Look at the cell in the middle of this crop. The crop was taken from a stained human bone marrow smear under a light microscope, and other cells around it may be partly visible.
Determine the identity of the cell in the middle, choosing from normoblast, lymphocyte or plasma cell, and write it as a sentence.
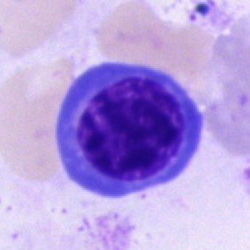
The cell found in the middle of this crop is a normoblast.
